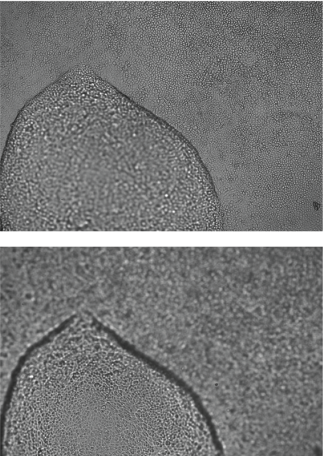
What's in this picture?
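A continuous sheet of small, tightly packed polygonal cells covers the field, giving a fine cobblestone texture. In the upper image, a large rounded region with a sharp curved border rises out of the sheet, its cells appearing blurred while the flat sheet around it is in focus. In the lower image, the focus has shifted: the cells inside the rounded region now appear crisp and the border stands out as a dark rim, while the surrounding sheet is out of focus. That the cells within the rounded region lie in a different plane from those around it indicates that the epithelial sheet has lifted off the culture surface.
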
